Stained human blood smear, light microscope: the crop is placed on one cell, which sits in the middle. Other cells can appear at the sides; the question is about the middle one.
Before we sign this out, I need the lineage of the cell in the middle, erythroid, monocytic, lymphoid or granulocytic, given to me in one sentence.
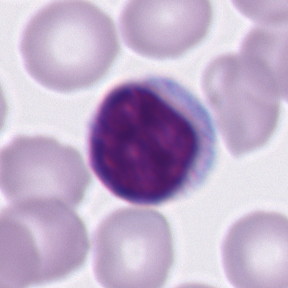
Lineage result for the cell in the middle of the crop: lymphoid.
